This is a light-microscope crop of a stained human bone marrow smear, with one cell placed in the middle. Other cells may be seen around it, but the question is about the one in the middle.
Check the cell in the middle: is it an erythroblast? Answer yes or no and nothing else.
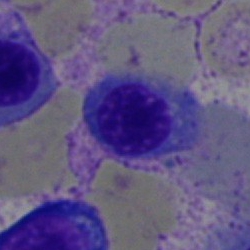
yes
